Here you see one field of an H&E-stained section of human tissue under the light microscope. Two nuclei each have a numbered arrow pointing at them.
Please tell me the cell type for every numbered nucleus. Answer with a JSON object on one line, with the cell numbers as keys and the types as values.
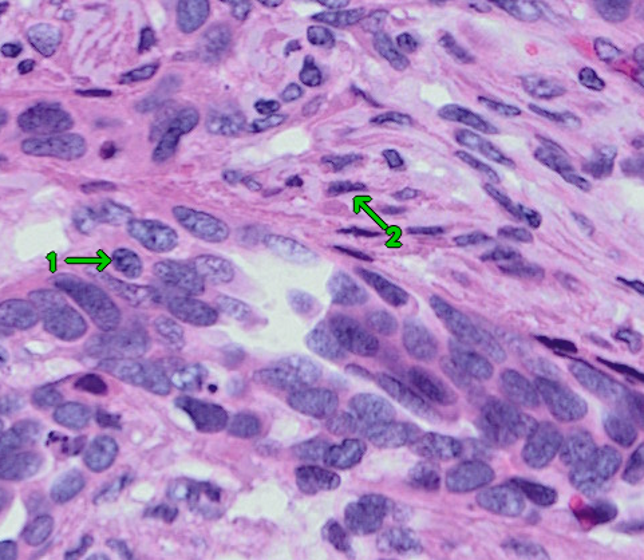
{"1": "lymphocyte", "2": "fibroblast"}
